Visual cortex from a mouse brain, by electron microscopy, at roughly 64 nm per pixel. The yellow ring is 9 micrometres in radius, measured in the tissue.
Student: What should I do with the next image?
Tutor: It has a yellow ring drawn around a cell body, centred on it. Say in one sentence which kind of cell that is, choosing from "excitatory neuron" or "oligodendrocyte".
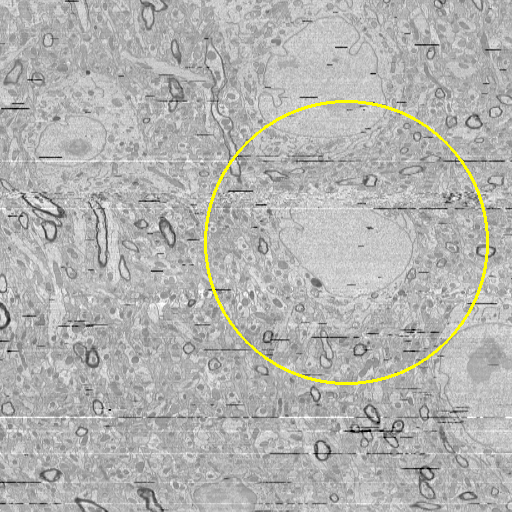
The ring's centre is occupied by an excitatory neuron.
